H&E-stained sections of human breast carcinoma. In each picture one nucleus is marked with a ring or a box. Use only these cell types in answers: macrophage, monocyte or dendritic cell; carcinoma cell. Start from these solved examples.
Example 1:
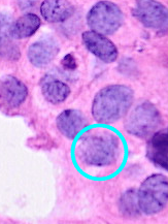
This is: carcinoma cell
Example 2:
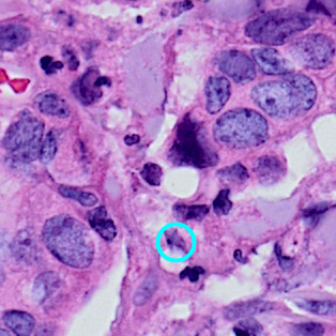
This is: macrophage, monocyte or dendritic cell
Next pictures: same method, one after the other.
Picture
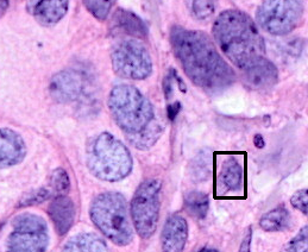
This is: macrophage, monocyte or dendritic cell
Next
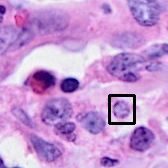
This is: macrophage, monocyte or dendritic cell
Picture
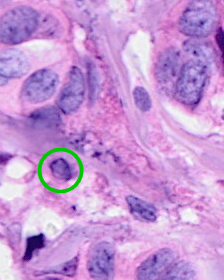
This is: macrophage, monocyte or dendritic cell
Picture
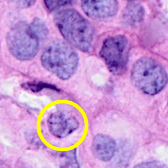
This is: macrophage, monocyte or dendritic cell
